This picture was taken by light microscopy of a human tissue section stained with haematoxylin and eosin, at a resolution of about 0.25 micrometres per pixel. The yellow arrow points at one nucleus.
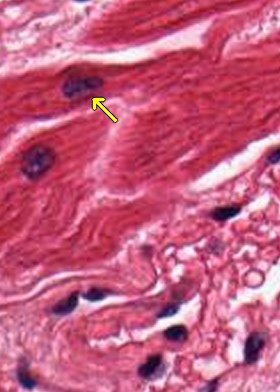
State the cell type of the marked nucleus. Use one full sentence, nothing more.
The mark in this picture falls on the nucleus of a cardiomyocyte.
